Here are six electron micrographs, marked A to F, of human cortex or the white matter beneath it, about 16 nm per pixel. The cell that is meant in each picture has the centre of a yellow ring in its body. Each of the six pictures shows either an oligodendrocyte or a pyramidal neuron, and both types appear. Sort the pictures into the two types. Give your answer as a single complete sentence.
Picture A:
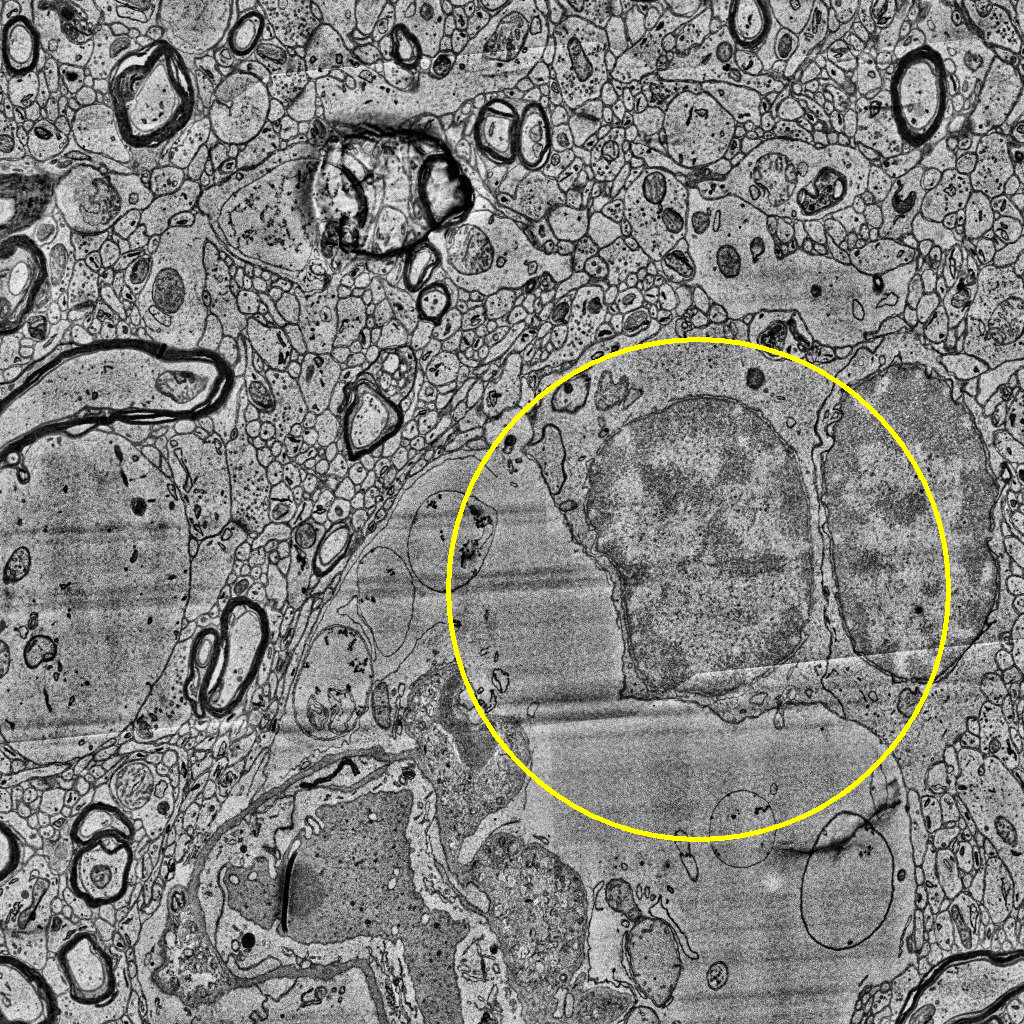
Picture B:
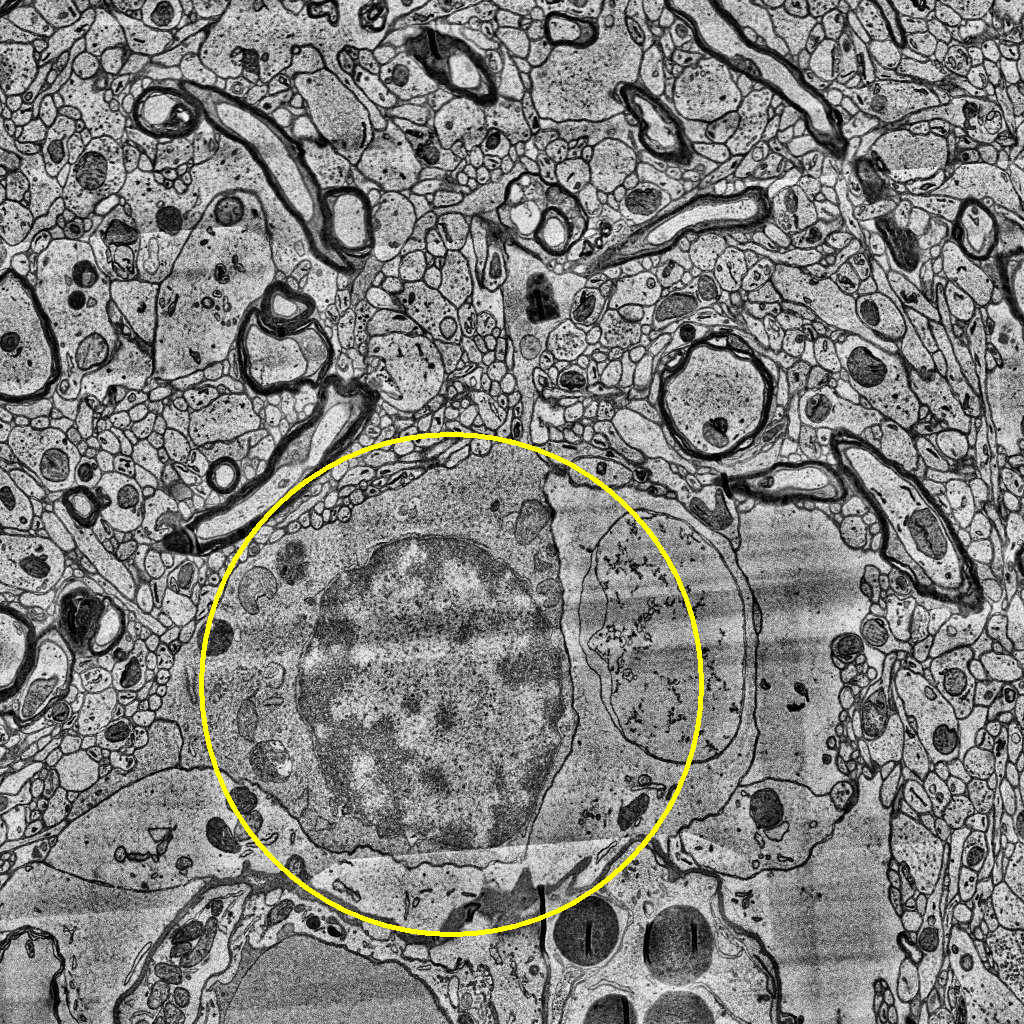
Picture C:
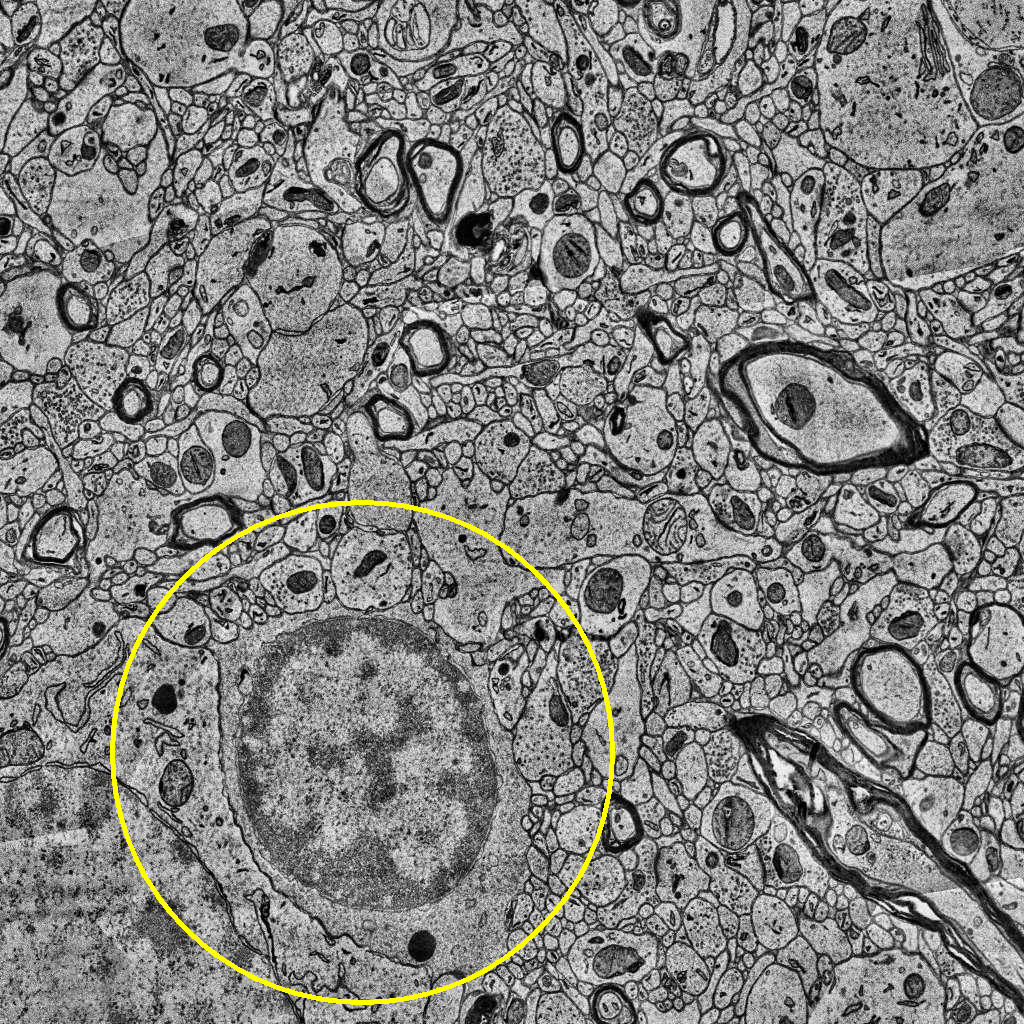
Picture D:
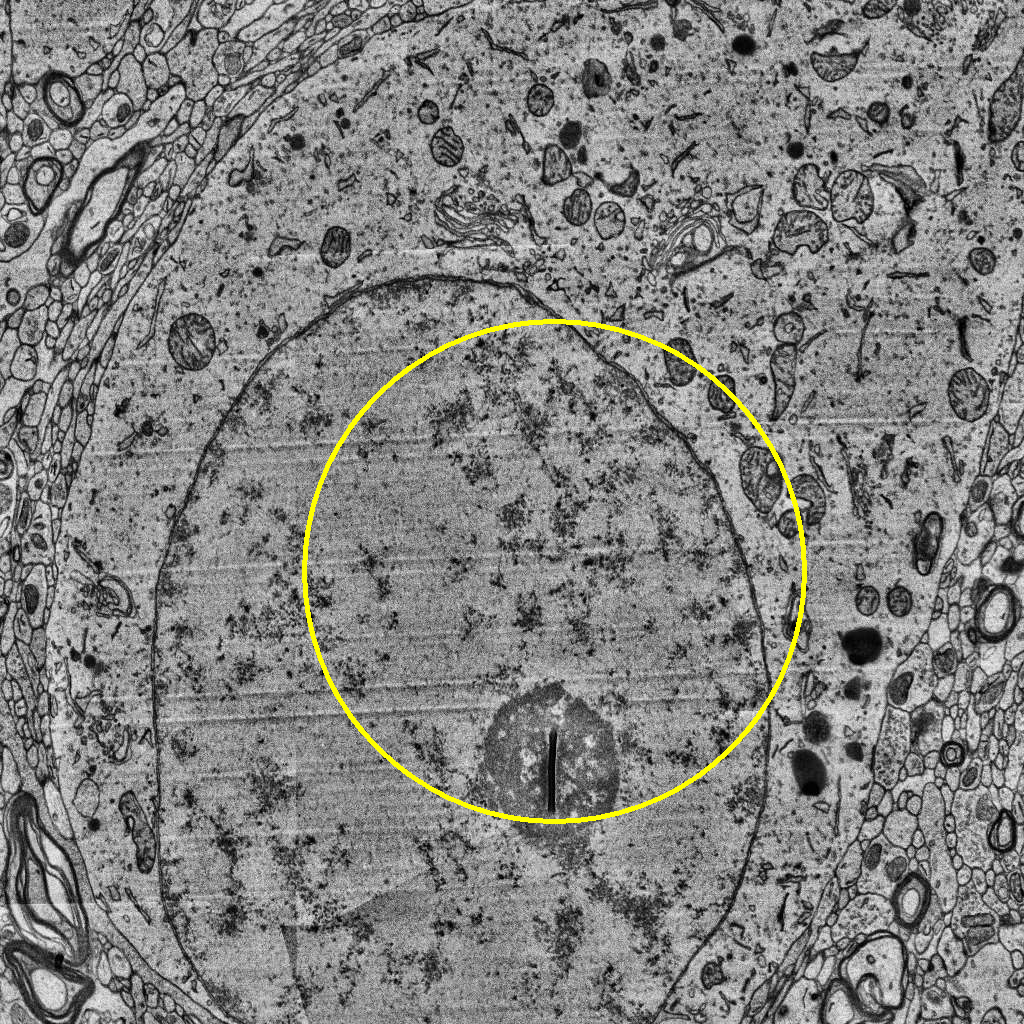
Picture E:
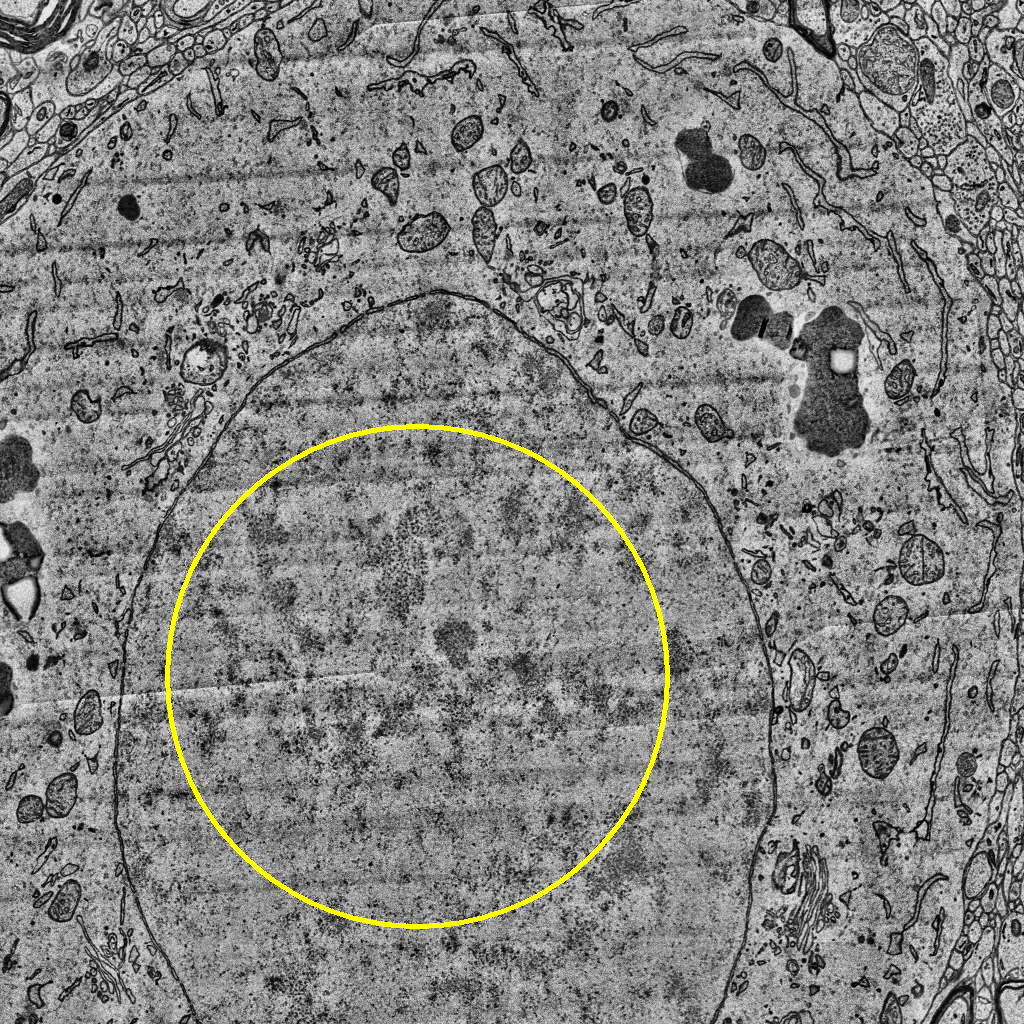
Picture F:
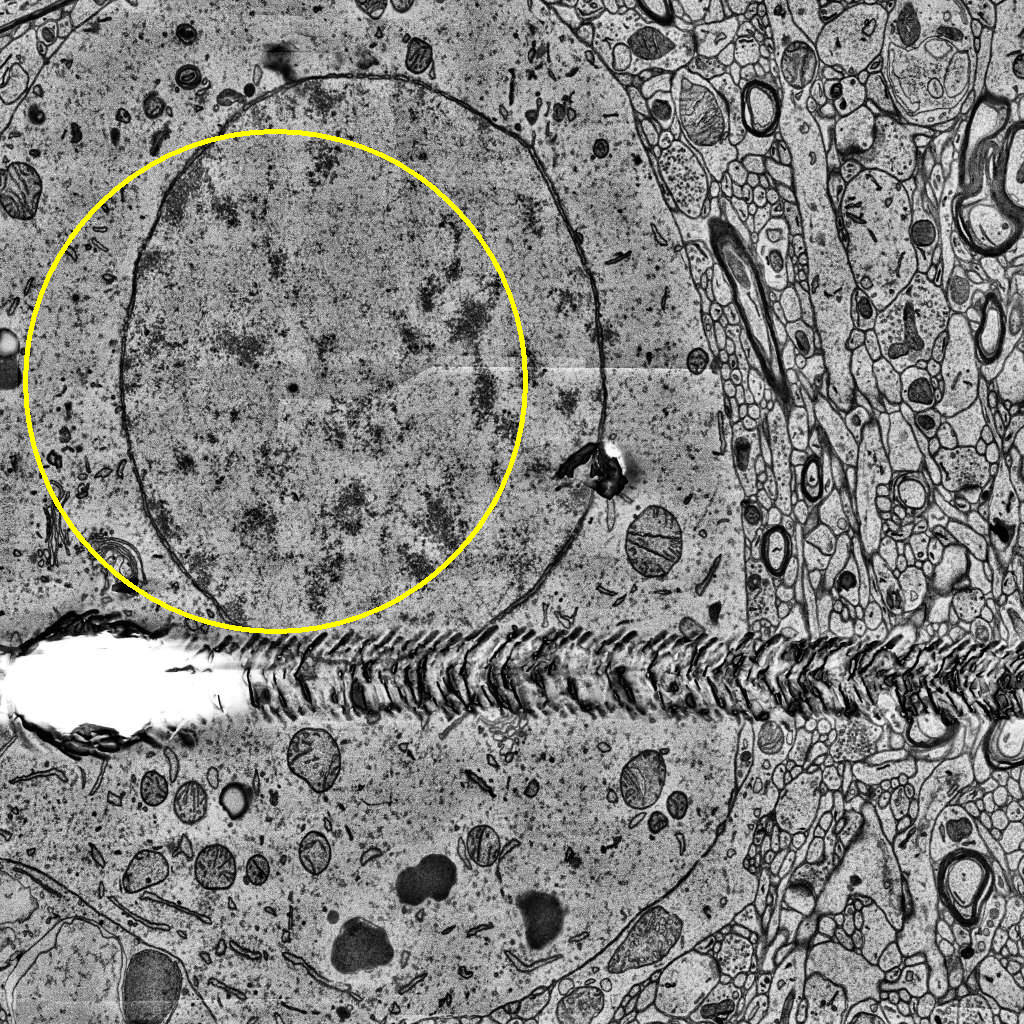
Pictures A, B and C show oligodendrocytes, and pictures D, E and F show pyramidal neurons.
